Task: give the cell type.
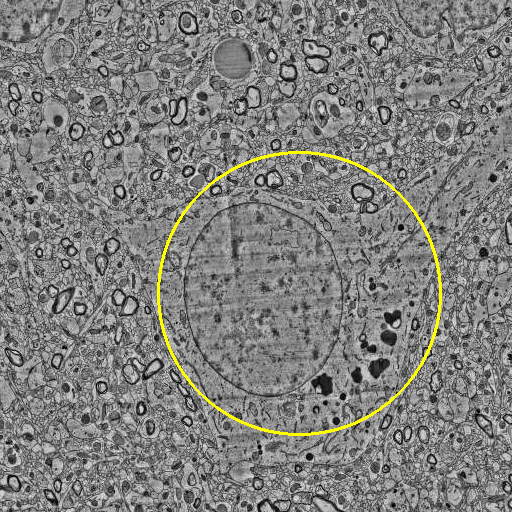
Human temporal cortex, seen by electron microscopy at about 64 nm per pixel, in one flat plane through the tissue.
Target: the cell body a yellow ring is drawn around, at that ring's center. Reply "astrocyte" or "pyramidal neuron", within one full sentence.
In this picture, the cell whose body lies at the ring's center is a pyramidal neuron.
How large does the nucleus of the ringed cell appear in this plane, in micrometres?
The nucleus is approximately 13 micrometers long by 10 micrometers wide in this plane.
